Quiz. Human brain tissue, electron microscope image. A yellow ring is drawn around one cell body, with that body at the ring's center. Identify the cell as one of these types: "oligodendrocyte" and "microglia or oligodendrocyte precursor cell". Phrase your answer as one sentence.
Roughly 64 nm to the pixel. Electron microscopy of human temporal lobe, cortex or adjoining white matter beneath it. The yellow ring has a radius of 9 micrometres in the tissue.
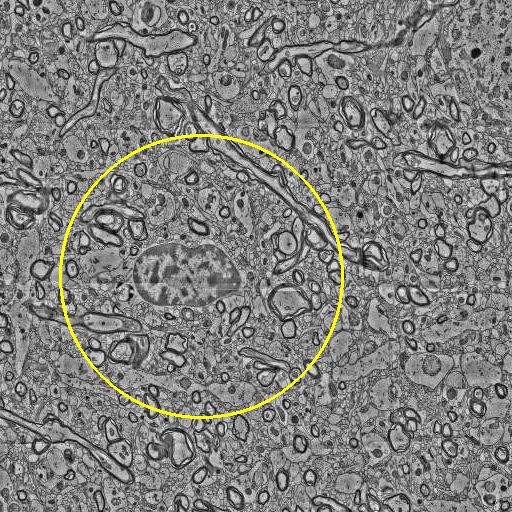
At the center of the ring sits a microglial cell or oligodendrocyte precursor cell.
